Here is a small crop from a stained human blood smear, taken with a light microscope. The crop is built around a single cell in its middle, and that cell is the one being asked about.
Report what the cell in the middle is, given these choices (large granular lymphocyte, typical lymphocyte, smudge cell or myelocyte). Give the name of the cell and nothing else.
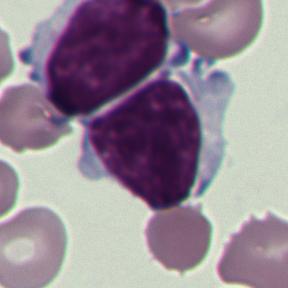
typical lymphocyte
